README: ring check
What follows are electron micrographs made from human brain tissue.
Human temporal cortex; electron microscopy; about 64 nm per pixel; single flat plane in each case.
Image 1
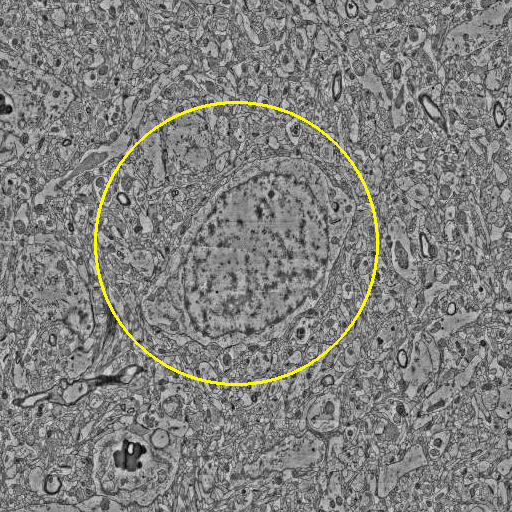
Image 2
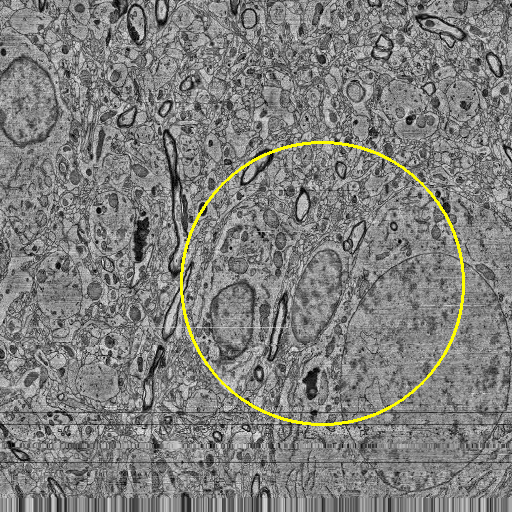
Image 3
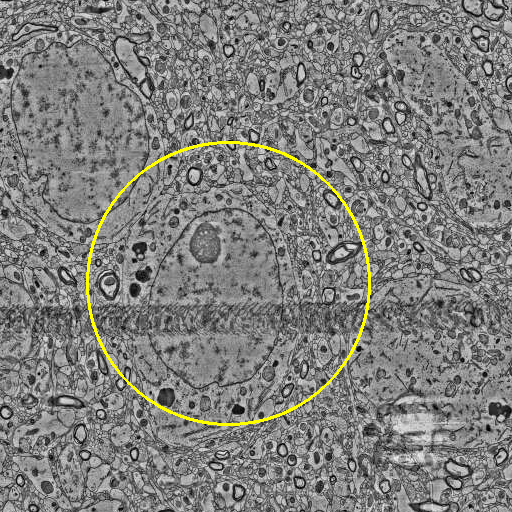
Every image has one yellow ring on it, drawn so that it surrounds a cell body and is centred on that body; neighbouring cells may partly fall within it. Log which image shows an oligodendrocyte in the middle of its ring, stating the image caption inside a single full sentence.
Image 2 is where the cell at the ring's centre matches the one asked for.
